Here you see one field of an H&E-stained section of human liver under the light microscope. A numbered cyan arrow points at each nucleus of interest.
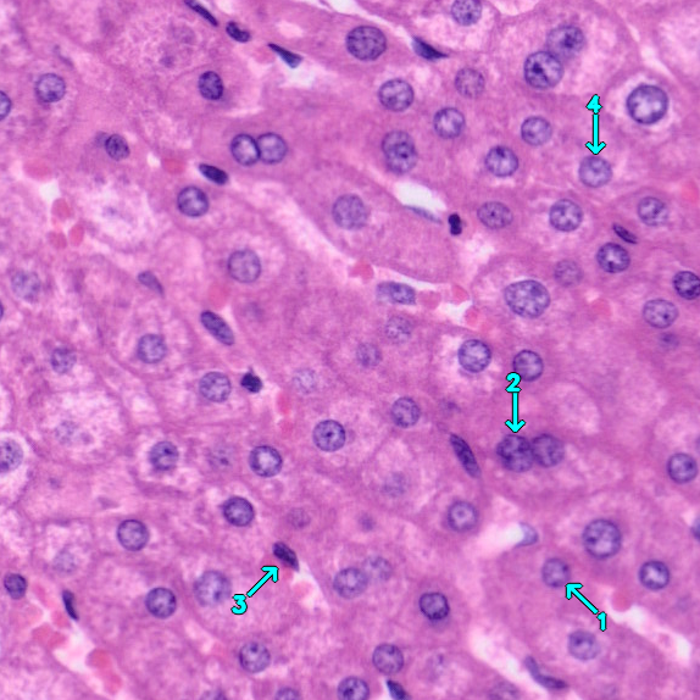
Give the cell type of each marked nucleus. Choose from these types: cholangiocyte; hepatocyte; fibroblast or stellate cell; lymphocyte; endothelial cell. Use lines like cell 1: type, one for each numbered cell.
cell 1: hepatocyte
cell 2: hepatocyte
cell 3: endothelial cell
cell 4: hepatocyte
